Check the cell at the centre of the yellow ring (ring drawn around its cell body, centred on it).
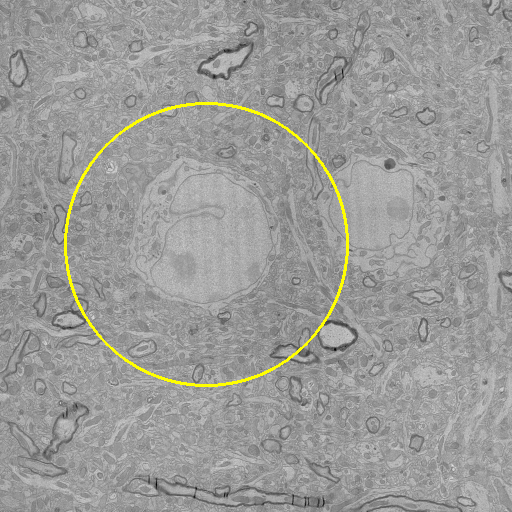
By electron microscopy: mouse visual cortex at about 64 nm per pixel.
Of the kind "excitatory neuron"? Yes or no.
yes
